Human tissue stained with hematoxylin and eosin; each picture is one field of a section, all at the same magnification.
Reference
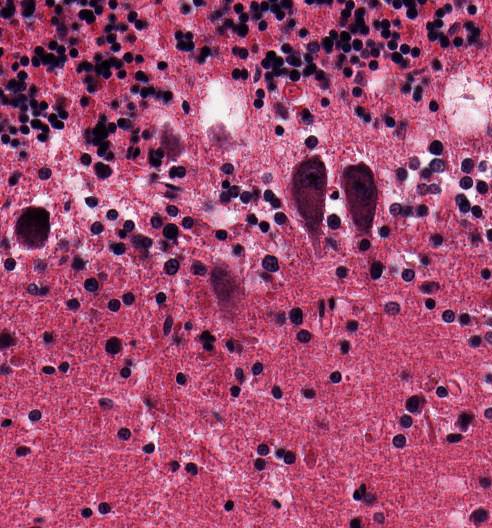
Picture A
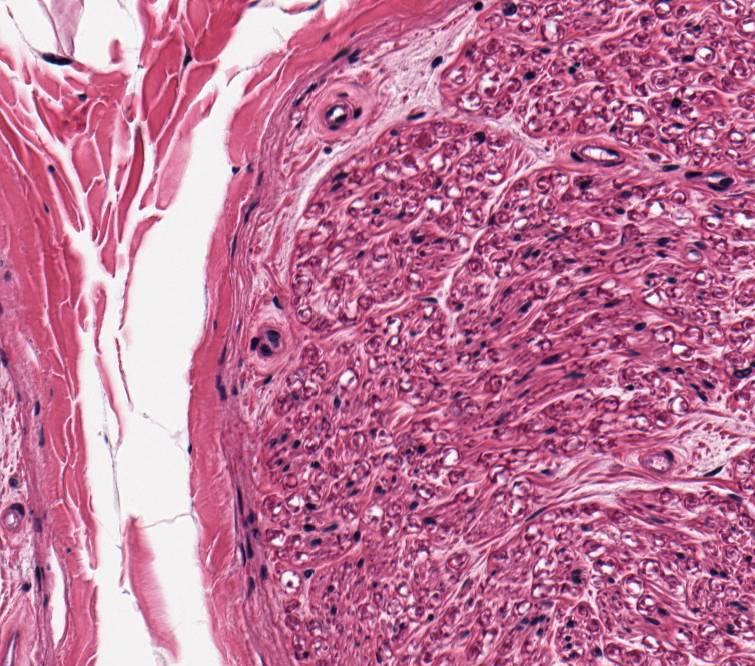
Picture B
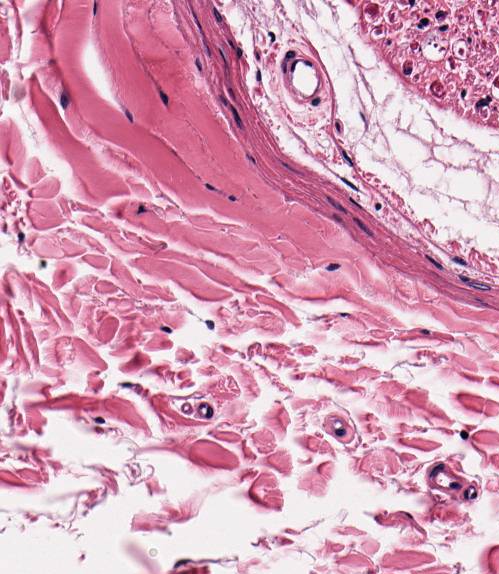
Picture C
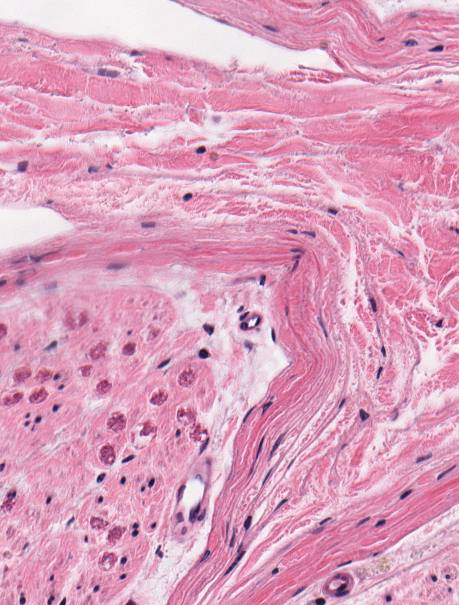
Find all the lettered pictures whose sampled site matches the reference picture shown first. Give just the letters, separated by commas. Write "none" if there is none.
none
